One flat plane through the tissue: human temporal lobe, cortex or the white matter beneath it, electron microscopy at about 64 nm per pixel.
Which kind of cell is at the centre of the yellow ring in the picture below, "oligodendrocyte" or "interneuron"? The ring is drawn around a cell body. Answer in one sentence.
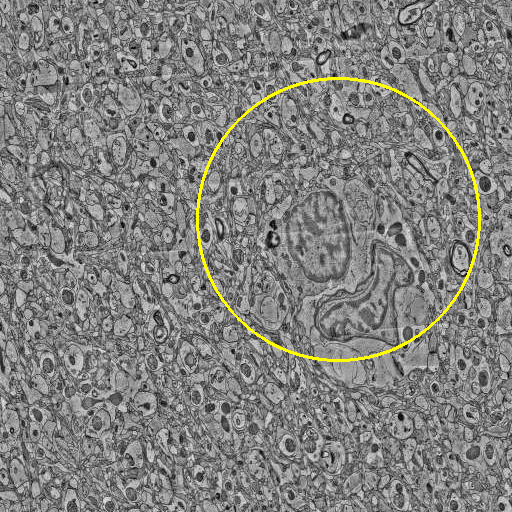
The ring's central cell is an oligodendrocyte.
